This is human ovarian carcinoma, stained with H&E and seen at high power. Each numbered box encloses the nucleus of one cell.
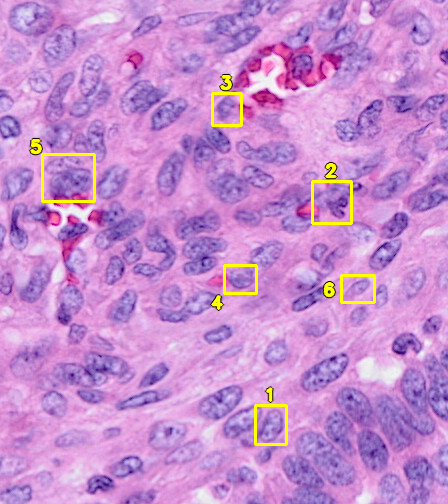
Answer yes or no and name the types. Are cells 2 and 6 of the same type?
No, cell 6 is a fibroblast, and cell 2 is an endothelial cell.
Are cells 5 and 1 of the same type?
No, that is not right: cell 5 is an endothelial cell and cell 1 is a fibroblast.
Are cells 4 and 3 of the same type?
Yes, both cells, 4 and 3, are endothelial cells.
